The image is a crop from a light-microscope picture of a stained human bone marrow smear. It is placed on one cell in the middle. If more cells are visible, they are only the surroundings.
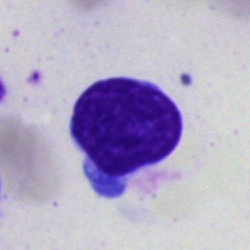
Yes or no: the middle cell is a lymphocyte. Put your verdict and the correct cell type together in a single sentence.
Yes, a lymphocyte is the cell positioned in the middle of the field.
